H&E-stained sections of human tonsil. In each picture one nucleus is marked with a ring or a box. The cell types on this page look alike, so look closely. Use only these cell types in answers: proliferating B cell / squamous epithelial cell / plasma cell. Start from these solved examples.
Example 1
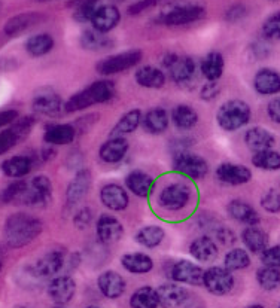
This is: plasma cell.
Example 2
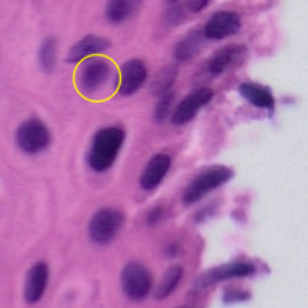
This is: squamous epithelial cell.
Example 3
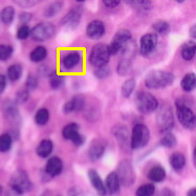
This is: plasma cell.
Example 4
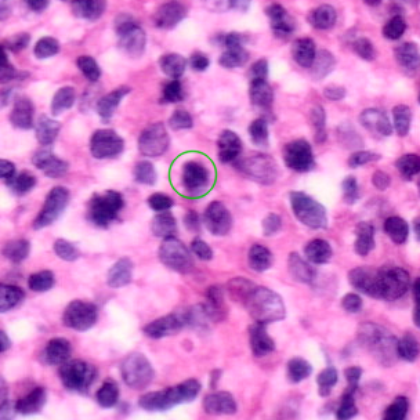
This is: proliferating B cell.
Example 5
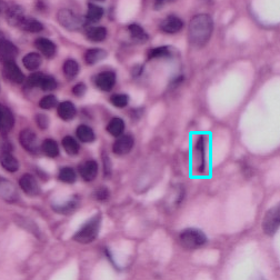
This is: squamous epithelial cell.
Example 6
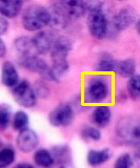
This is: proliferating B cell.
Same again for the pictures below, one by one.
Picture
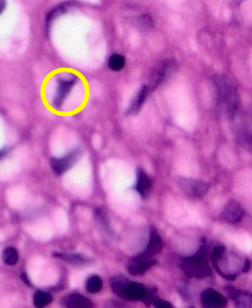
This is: squamous epithelial cell.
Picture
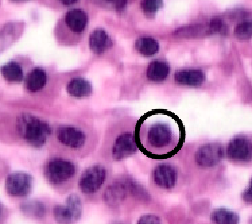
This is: plasma cell.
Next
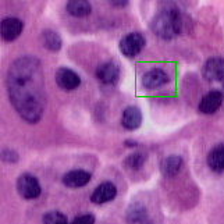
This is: plasma cell.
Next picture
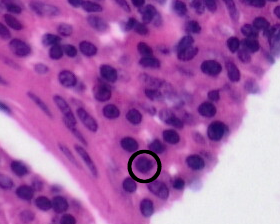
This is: plasma cell.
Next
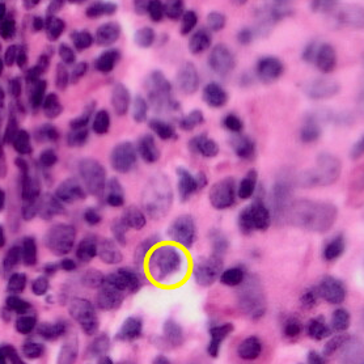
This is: proliferating B cell.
